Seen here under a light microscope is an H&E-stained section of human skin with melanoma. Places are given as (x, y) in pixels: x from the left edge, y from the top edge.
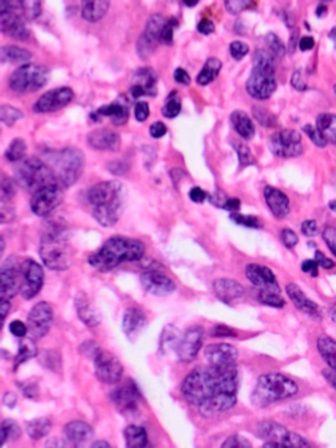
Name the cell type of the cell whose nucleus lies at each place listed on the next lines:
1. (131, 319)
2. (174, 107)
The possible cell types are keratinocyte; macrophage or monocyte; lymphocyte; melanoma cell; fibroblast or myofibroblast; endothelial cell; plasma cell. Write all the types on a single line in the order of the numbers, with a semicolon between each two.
melanoma cell; lymphocyte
